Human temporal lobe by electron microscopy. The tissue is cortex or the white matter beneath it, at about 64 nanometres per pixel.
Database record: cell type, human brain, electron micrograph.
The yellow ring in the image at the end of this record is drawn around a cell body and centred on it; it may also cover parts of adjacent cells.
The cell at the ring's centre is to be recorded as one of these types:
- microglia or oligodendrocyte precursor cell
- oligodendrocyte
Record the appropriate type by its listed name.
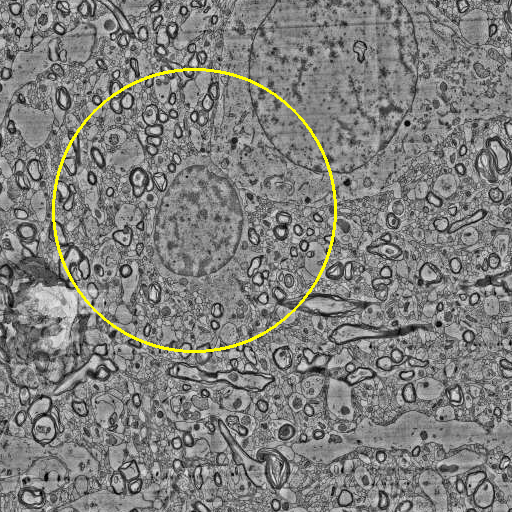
oligodendrocyte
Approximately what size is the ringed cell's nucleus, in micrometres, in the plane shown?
The nucleus comes to roughly 7 by 6 micrometres in this plane.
